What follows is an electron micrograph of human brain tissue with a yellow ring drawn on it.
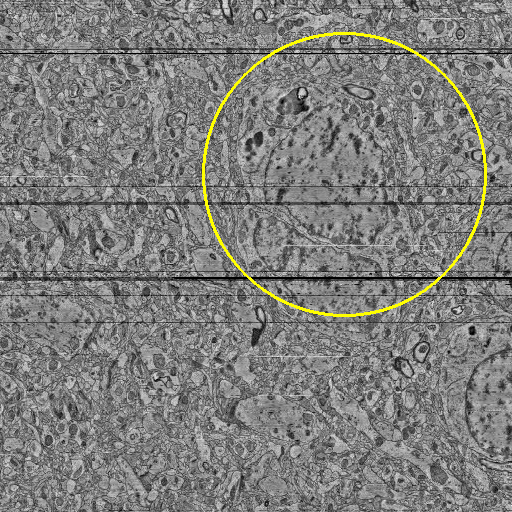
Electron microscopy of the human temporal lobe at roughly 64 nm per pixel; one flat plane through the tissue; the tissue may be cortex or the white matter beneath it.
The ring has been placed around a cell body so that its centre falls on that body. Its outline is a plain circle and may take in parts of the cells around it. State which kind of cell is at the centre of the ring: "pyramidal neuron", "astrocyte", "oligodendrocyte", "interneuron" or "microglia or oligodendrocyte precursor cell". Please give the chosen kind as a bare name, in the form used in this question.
interneuron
